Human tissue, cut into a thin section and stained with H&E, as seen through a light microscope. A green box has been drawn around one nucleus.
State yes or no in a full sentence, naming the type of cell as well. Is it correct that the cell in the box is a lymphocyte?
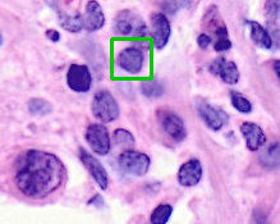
Yes, in terms of cell type, the cell in the box is a lymphocyte.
